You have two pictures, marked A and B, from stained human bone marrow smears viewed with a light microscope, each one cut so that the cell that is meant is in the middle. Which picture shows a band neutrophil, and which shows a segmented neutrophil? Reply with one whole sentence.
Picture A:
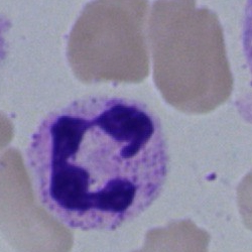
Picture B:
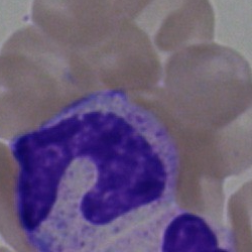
Picture A shows a segmented neutrophil and picture B shows a band neutrophil.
